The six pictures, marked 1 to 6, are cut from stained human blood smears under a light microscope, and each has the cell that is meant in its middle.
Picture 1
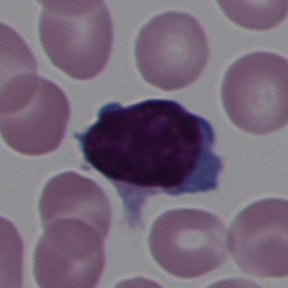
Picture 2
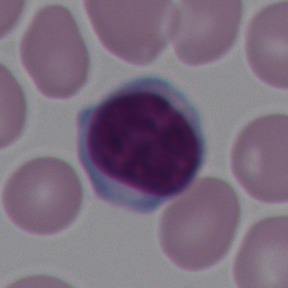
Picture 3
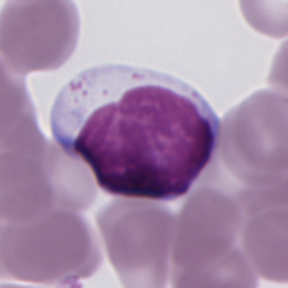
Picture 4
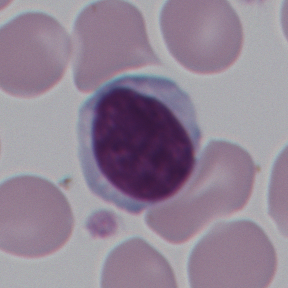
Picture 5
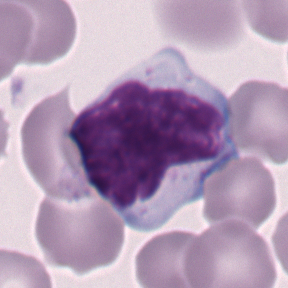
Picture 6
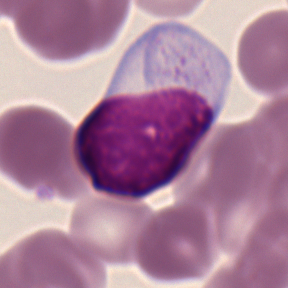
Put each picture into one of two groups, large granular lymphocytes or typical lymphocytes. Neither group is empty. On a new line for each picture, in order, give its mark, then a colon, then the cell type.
1: typical lymphocyte
2: typical lymphocyte
3: large granular lymphocyte
4: typical lymphocyte
5: large granular lymphocyte
6: large granular lymphocyte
